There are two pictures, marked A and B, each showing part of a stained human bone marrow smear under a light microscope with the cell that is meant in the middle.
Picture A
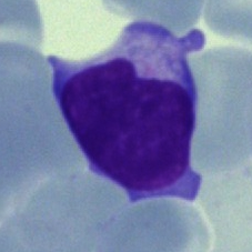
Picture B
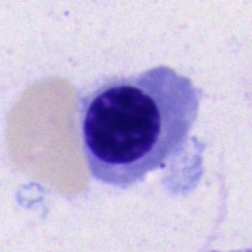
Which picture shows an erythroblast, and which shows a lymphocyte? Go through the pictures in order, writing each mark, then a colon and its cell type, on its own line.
A: lymphocyte
B: erythroblast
